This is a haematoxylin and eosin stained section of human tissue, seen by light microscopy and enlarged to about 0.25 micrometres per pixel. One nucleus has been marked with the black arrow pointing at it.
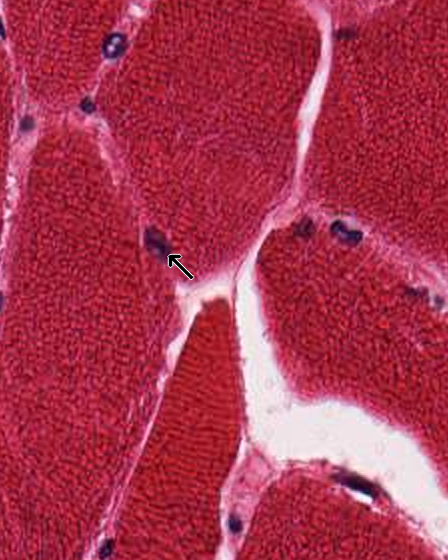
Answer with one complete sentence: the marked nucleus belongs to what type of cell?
It is a skeletal muscle fibre that the marked nucleus belongs to.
